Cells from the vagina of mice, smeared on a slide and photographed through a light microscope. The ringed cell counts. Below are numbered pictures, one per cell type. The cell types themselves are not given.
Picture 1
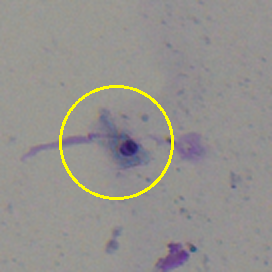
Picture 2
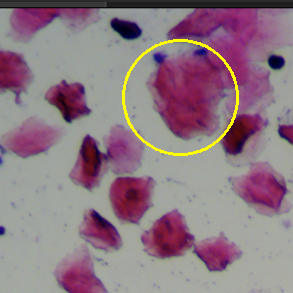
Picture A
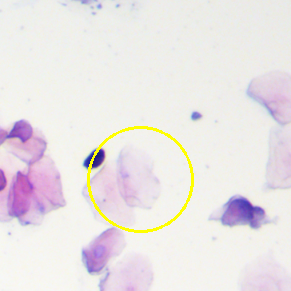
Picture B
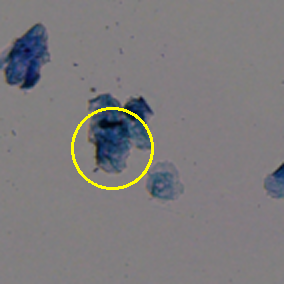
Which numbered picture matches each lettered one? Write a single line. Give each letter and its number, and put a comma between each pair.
A 2, B 2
